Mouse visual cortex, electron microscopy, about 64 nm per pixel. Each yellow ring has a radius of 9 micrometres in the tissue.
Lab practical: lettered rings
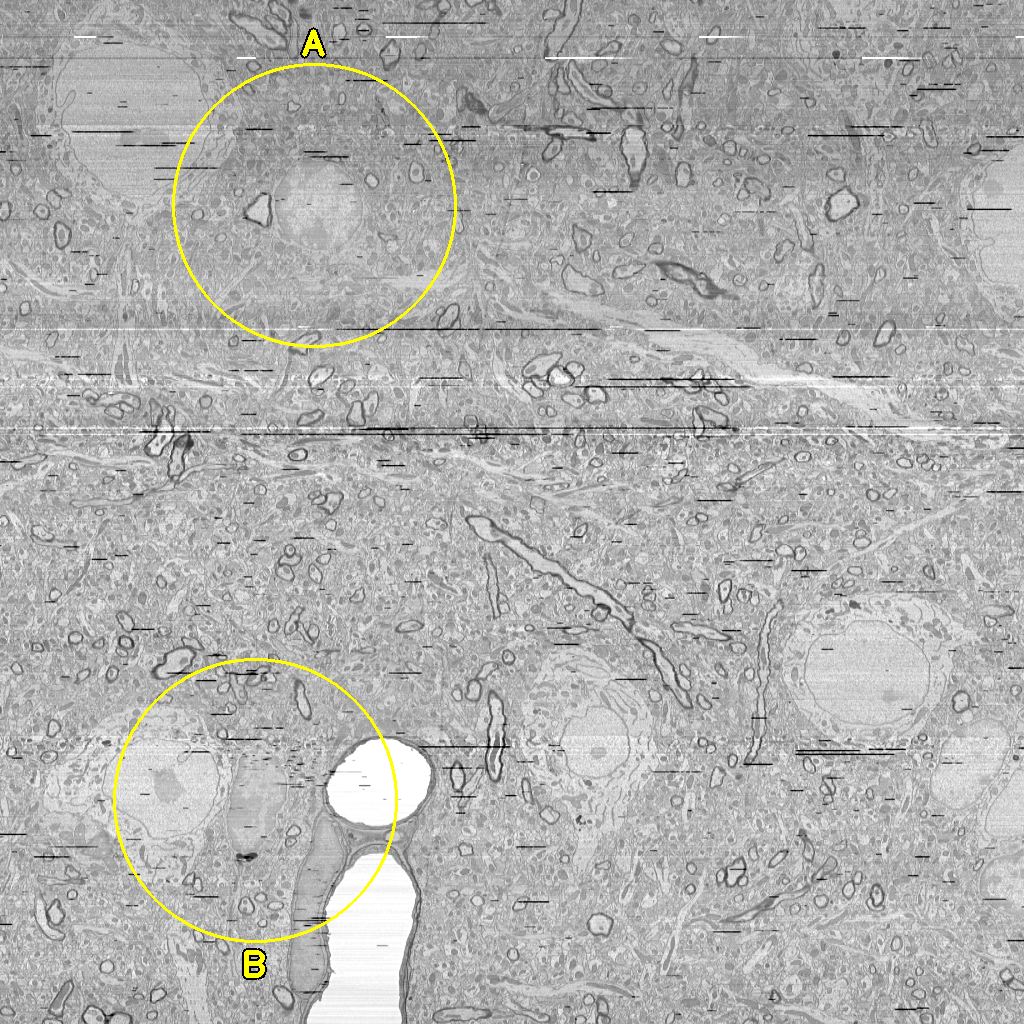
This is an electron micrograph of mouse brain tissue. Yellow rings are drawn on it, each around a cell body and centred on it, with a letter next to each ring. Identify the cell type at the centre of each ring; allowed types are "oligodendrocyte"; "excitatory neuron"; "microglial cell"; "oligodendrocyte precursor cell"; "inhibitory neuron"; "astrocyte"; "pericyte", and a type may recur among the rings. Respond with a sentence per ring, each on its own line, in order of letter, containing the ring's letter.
Lying at the centre of ring A is an oligodendrocyte.
Lying at the centre of ring B is a microglial cell.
